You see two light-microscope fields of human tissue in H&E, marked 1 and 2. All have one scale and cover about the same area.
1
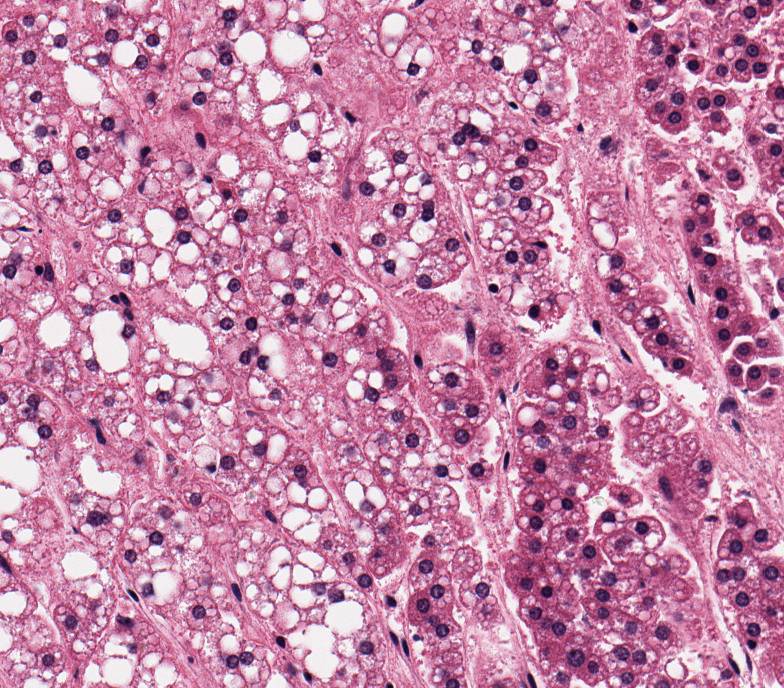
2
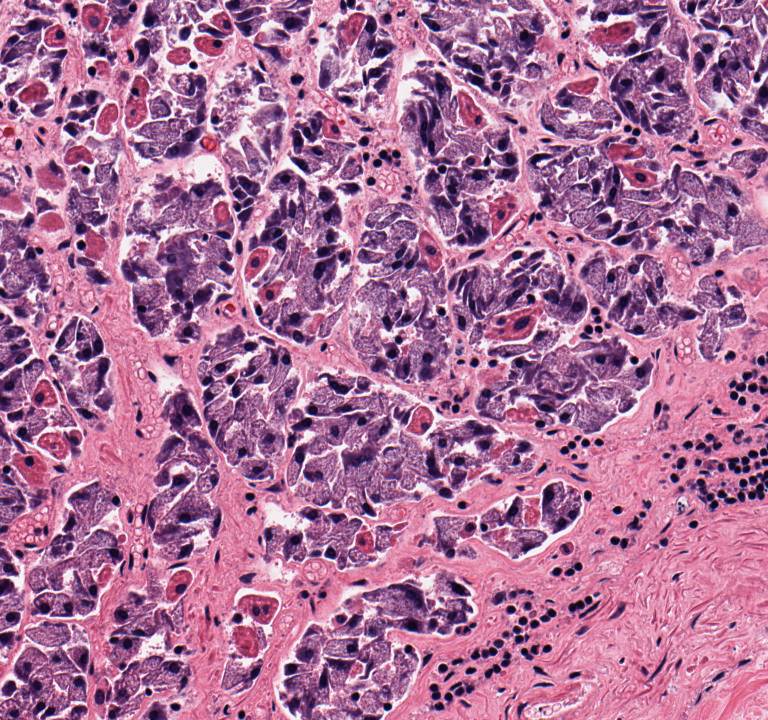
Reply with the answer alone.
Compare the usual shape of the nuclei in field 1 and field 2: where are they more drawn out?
2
